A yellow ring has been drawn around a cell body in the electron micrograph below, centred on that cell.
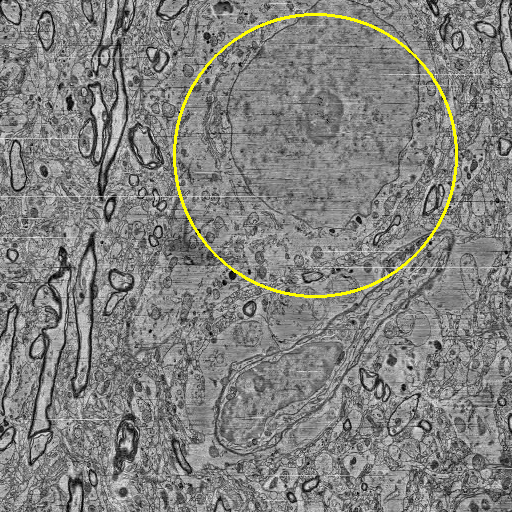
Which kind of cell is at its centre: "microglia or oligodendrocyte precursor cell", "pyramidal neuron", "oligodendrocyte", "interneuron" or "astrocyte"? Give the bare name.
pyramidal neuron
